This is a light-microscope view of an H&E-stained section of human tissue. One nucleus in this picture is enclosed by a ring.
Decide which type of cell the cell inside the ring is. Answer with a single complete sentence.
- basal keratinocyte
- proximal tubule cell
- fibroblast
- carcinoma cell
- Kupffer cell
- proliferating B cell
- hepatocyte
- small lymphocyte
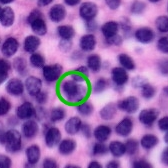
As for its identity, the cell inside the ring is a small lymphocyte.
